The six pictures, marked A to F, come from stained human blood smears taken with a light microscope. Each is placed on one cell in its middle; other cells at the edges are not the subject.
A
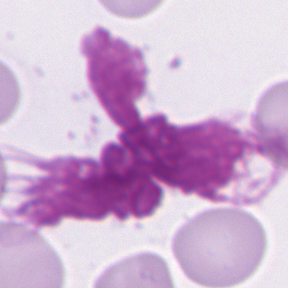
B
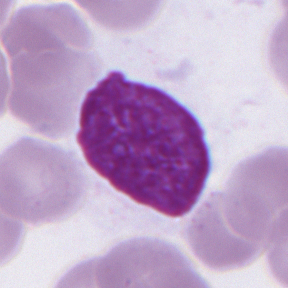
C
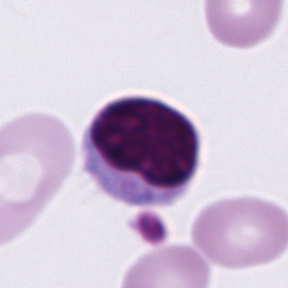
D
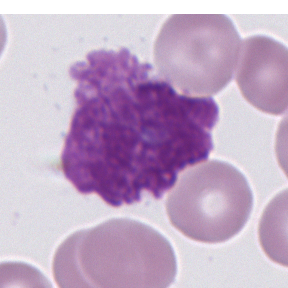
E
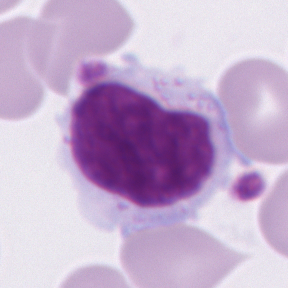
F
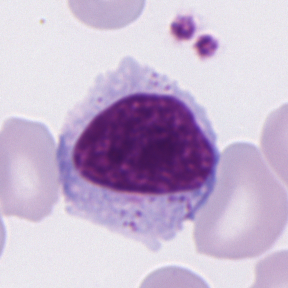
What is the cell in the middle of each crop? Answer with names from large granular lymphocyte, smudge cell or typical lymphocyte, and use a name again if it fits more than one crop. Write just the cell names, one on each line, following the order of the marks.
smudge cell
smudge cell
typical lymphocyte
smudge cell
large granular lymphocyte
large granular lymphocyte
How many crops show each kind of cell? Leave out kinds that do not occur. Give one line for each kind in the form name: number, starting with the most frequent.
smudge cell: 3
large granular lymphocyte: 2
typical lymphocyte: 1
